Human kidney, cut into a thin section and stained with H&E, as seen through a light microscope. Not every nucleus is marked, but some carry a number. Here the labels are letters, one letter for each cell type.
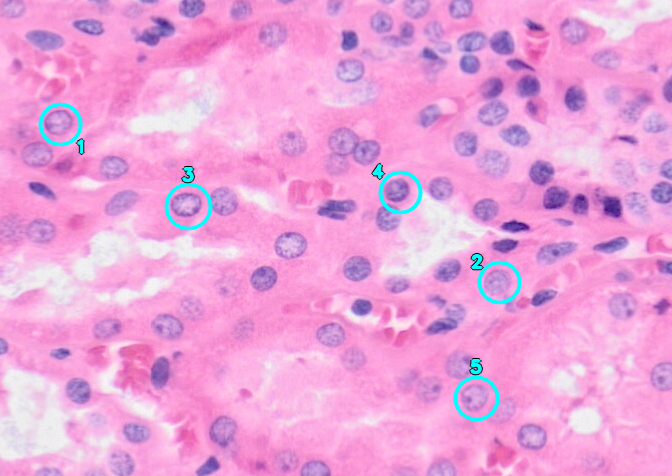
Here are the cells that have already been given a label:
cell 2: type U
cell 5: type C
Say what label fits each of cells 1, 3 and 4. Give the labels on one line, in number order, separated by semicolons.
type C; type C; type U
